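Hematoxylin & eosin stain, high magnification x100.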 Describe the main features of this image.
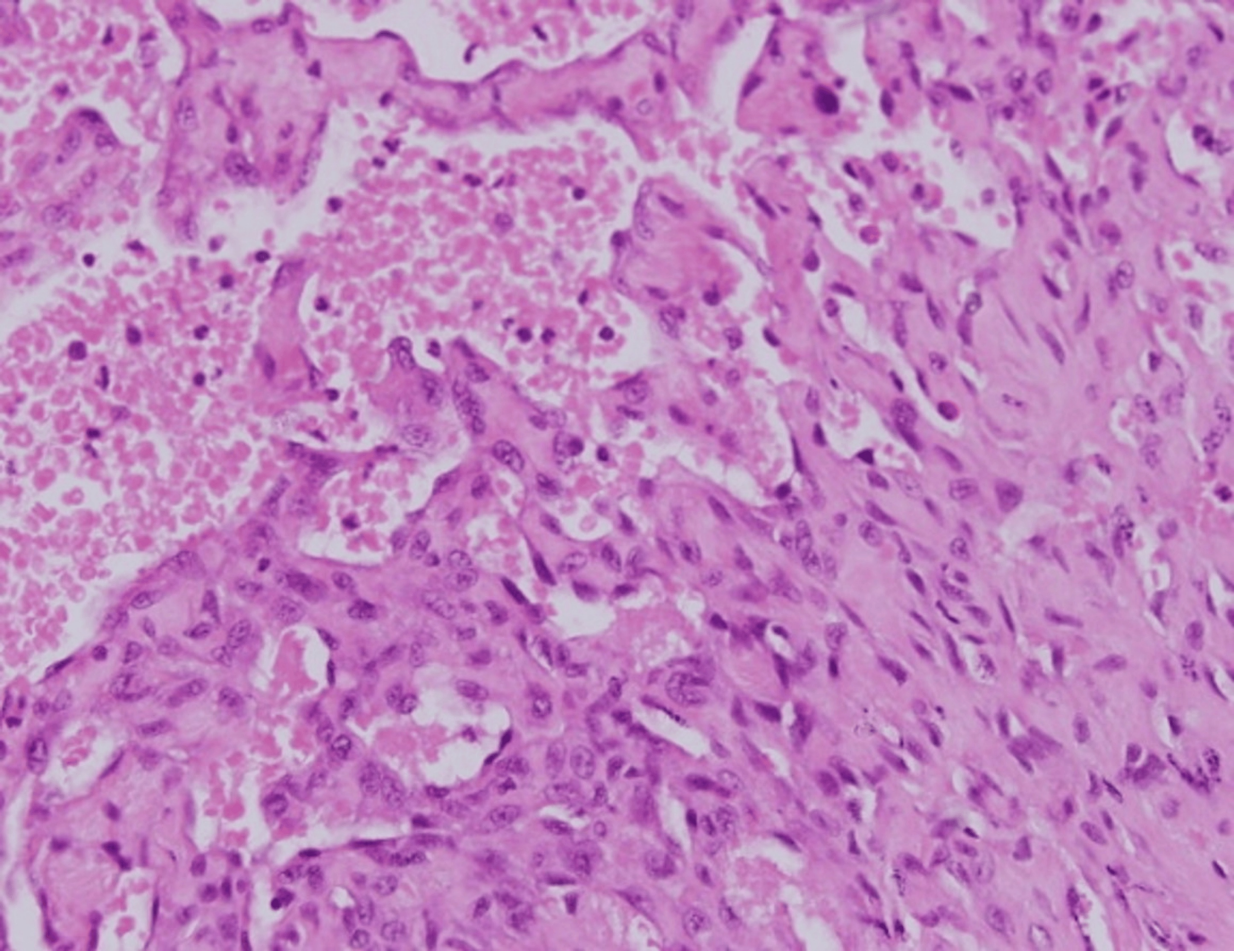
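Lesion of spindle-shaped endothelial cells forming irregular, anastomosing channels filled with red blood cells in the upper left. The lining cells are plump, with enlarged, irregular, dark purple nuclei. Toward the lower and right side, the cells form solid sheets of elongated spindle cells with oval vesicular nuclei in pink stroma, cut by narrow slit-like spaces.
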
